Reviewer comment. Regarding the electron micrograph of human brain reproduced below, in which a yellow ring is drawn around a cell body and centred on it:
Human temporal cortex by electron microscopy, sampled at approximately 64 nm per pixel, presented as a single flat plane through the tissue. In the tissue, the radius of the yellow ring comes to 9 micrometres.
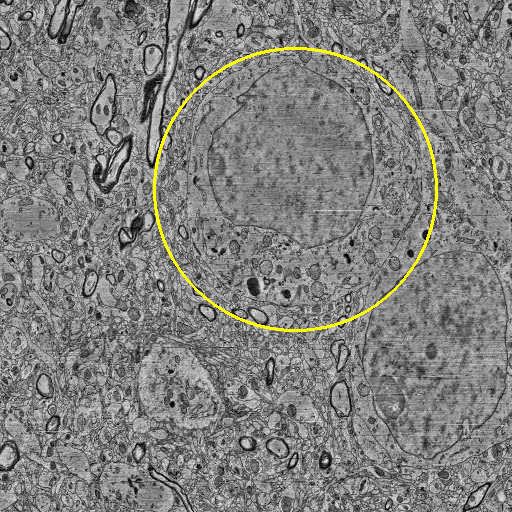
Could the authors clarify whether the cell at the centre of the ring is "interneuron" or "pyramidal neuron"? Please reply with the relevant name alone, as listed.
pyramidal neuron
